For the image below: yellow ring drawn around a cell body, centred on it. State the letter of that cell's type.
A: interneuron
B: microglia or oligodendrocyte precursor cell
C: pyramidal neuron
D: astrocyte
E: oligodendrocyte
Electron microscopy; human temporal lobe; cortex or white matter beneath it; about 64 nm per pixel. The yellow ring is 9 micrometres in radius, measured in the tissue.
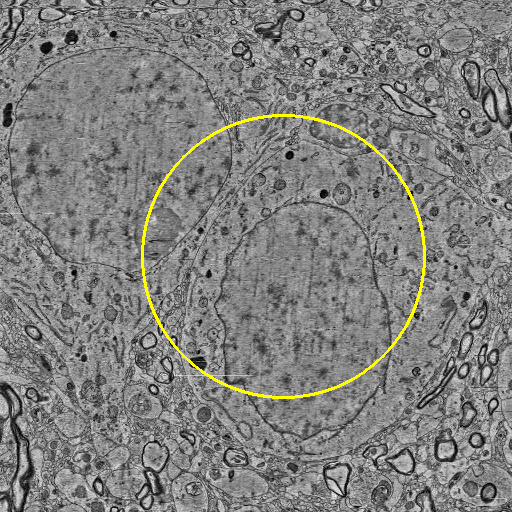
C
